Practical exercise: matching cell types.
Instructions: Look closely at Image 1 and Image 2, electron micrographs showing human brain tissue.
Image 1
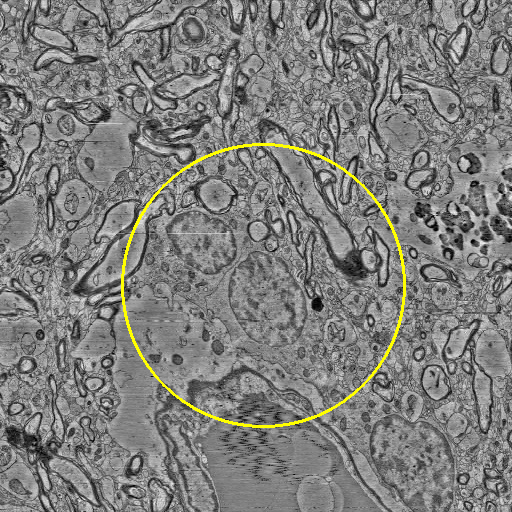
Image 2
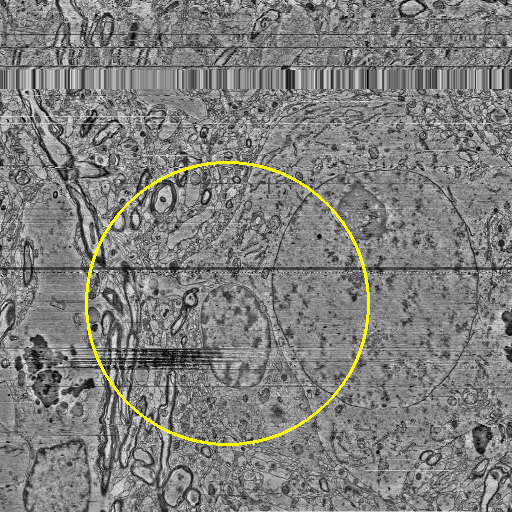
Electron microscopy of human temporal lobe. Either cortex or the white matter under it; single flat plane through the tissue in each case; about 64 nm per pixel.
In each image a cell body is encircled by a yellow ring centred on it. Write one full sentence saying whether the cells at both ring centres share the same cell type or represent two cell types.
Across Image 1 and Image 2, the cells at the ring centres share the same cell type.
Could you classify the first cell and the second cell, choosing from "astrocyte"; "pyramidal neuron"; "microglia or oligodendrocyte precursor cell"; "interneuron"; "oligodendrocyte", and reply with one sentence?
Both pictures show an oligodendrocyte at the centre of the ring.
